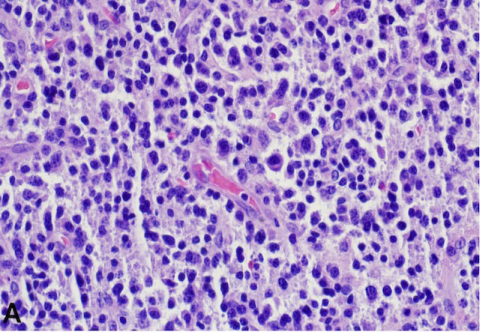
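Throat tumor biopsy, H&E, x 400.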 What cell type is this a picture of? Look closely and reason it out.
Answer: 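Densely packed round to oval cells fill the field. Round dark nuclei, many set off to one side of the cell. Rim of pink-purple cytoplasm around many nuclei. That points to this answer: plasma cells.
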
